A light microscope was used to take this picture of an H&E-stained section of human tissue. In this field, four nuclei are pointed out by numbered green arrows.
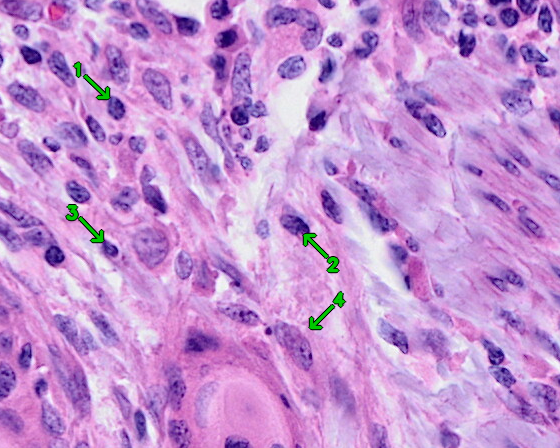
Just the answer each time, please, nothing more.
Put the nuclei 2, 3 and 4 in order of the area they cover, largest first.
4, 2, 3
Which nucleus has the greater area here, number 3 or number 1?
1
